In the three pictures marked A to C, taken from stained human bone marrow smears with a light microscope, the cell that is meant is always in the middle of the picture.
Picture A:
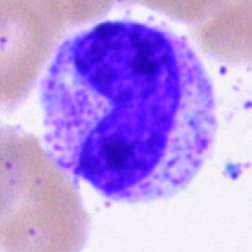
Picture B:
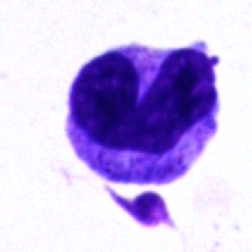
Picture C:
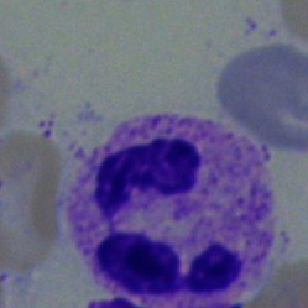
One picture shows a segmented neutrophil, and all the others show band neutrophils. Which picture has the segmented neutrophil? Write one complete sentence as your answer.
The segmented neutrophil is the one in picture C.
